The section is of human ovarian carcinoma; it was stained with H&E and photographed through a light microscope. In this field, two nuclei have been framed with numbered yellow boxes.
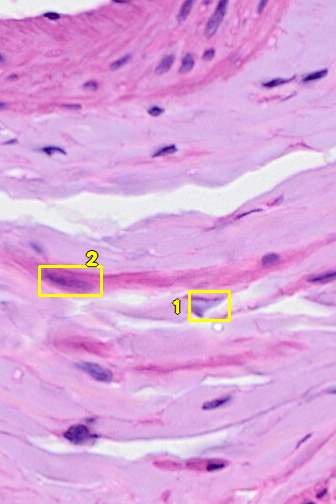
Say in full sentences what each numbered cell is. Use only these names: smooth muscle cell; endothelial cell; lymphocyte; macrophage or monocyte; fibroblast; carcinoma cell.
Cell 1 is a fibroblast. Cell 2 is a smooth muscle cell.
